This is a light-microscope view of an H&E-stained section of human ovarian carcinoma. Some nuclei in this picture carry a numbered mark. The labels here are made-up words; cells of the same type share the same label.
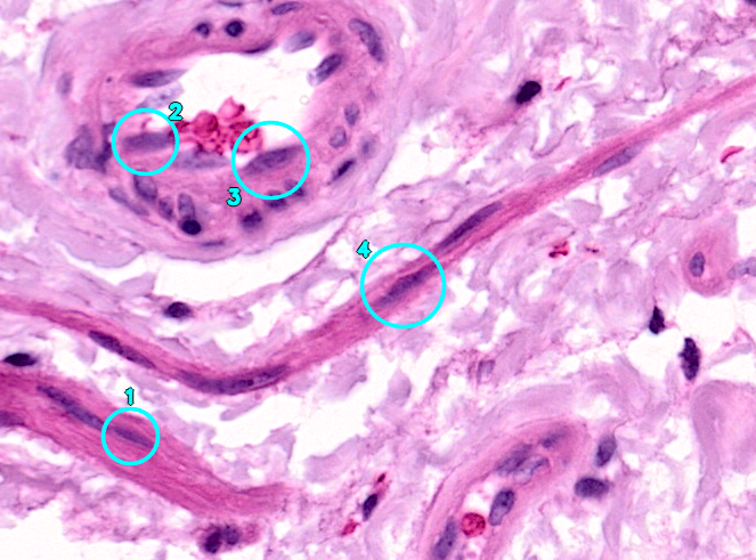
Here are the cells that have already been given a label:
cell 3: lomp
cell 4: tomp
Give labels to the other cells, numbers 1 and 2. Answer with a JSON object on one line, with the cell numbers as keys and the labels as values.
{"1": "tomp", "2": "lomp"}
